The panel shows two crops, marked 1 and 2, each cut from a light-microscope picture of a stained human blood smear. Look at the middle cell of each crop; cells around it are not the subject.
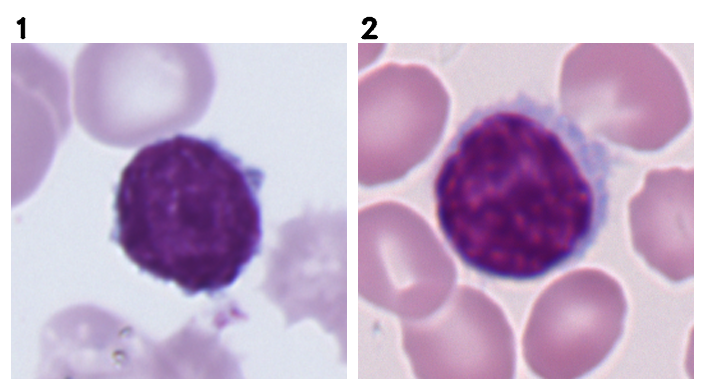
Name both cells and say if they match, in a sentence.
No, crop 1 depicts a typical lymphocyte, and crop 2 depicts a hairy cell.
